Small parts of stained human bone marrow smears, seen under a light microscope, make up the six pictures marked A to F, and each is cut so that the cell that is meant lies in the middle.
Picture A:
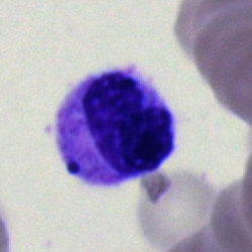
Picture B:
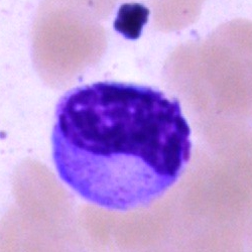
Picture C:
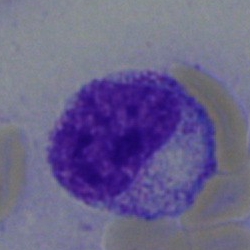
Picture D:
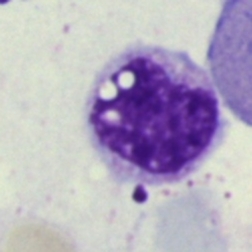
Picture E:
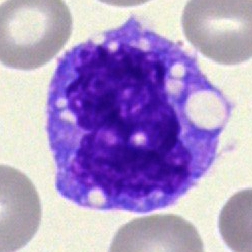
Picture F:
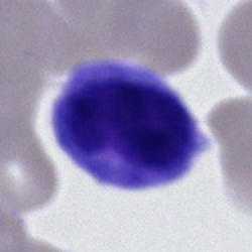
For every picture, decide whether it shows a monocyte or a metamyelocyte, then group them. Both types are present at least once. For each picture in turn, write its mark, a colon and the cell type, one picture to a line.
A: metamyelocyte
B: metamyelocyte
C: metamyelocyte
D: metamyelocyte
E: monocyte
F: monocyte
